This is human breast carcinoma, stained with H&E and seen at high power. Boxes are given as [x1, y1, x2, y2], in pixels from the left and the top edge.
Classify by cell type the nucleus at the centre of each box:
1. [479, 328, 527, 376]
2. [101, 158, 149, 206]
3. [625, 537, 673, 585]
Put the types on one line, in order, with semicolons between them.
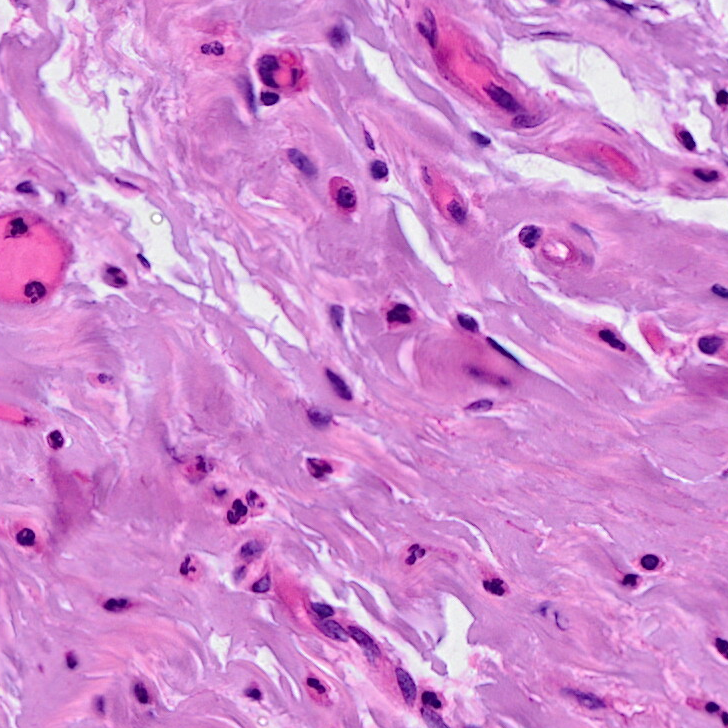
fibroblast; fibroblast; mast cell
